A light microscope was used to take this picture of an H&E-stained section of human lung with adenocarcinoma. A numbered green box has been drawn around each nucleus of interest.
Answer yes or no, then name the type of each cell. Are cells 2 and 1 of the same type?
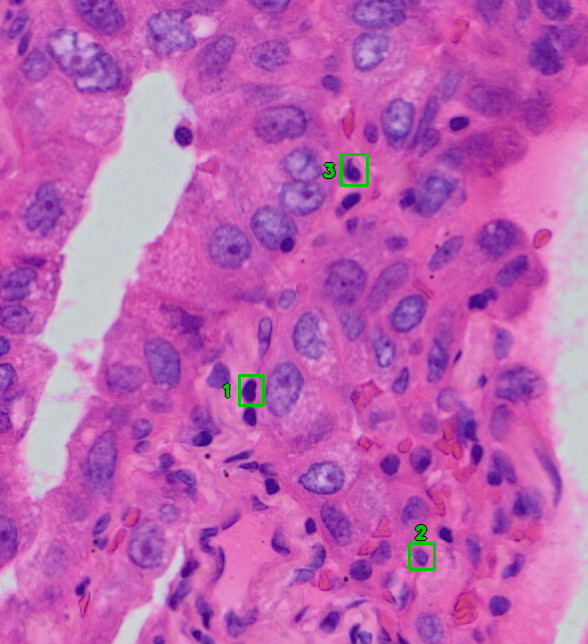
No, cell 2 is classed as a mast cell and cell 1 as a lymphocyte.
